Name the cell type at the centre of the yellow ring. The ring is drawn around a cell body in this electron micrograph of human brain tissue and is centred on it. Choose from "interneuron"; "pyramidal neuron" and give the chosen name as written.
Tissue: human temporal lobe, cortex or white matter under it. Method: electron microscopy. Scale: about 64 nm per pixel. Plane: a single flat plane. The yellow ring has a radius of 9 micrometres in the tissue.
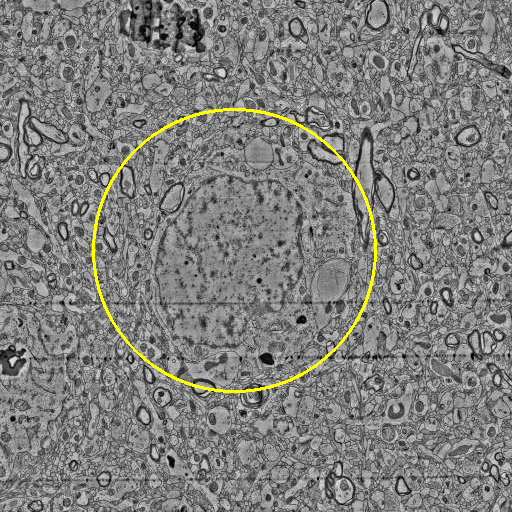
interneuron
